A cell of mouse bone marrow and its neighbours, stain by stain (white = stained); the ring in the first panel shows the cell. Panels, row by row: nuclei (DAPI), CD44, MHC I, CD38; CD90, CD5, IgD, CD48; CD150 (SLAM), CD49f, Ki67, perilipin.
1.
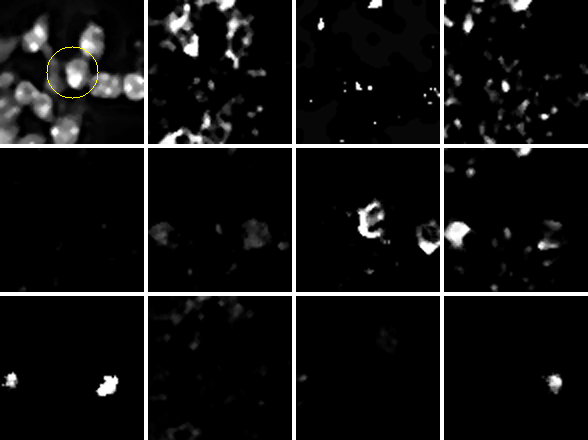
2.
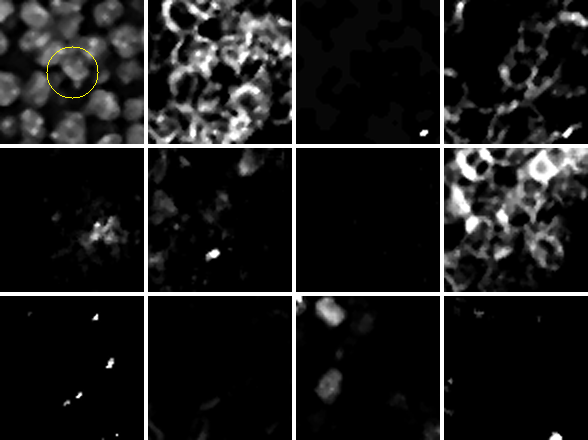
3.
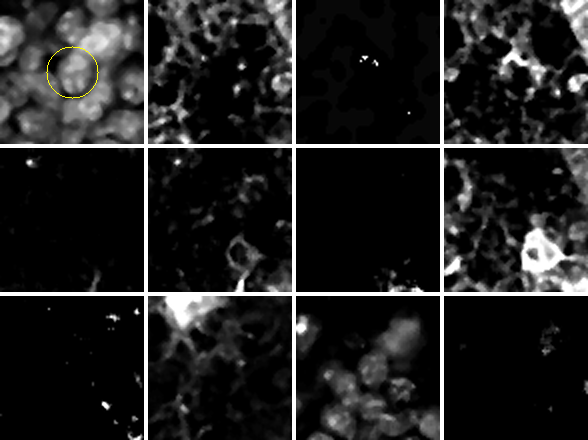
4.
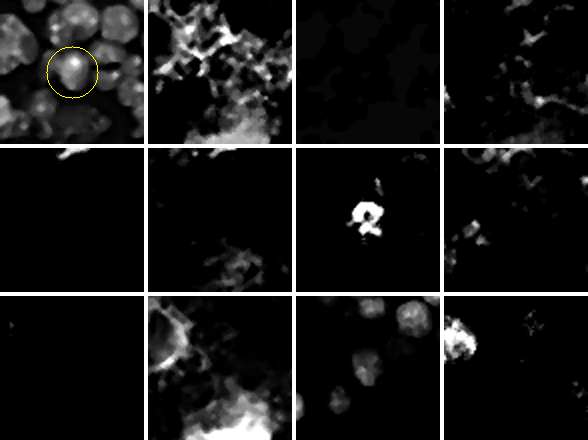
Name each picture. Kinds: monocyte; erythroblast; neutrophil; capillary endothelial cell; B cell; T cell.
1. B cell
2. neutrophil
3. capillary endothelial cell
4. erythroblast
